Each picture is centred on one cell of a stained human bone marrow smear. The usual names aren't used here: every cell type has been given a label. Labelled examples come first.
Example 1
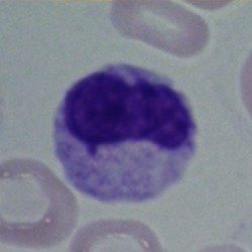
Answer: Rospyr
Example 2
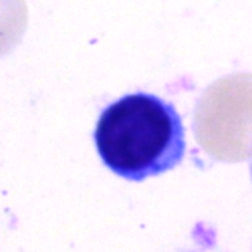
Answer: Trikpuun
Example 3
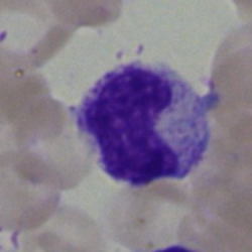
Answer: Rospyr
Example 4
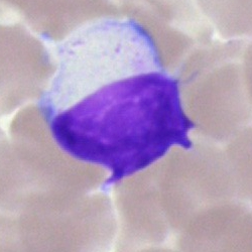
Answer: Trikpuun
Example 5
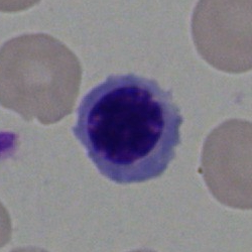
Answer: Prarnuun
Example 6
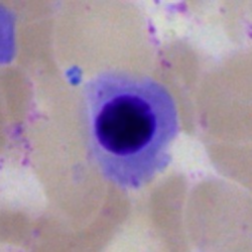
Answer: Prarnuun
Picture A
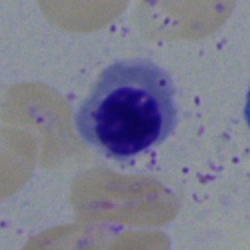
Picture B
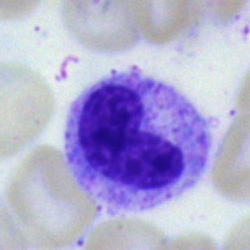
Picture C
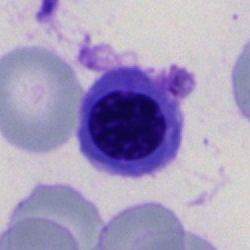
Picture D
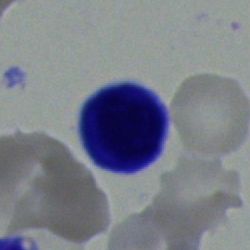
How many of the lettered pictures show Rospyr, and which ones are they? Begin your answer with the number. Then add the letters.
1: B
